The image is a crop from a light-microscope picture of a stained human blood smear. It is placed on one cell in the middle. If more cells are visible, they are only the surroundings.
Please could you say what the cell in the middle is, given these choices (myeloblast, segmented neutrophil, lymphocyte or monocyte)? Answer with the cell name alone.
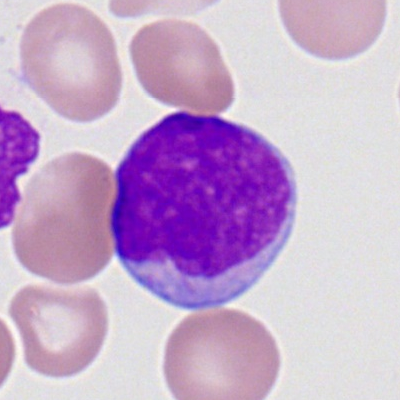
myeloblast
